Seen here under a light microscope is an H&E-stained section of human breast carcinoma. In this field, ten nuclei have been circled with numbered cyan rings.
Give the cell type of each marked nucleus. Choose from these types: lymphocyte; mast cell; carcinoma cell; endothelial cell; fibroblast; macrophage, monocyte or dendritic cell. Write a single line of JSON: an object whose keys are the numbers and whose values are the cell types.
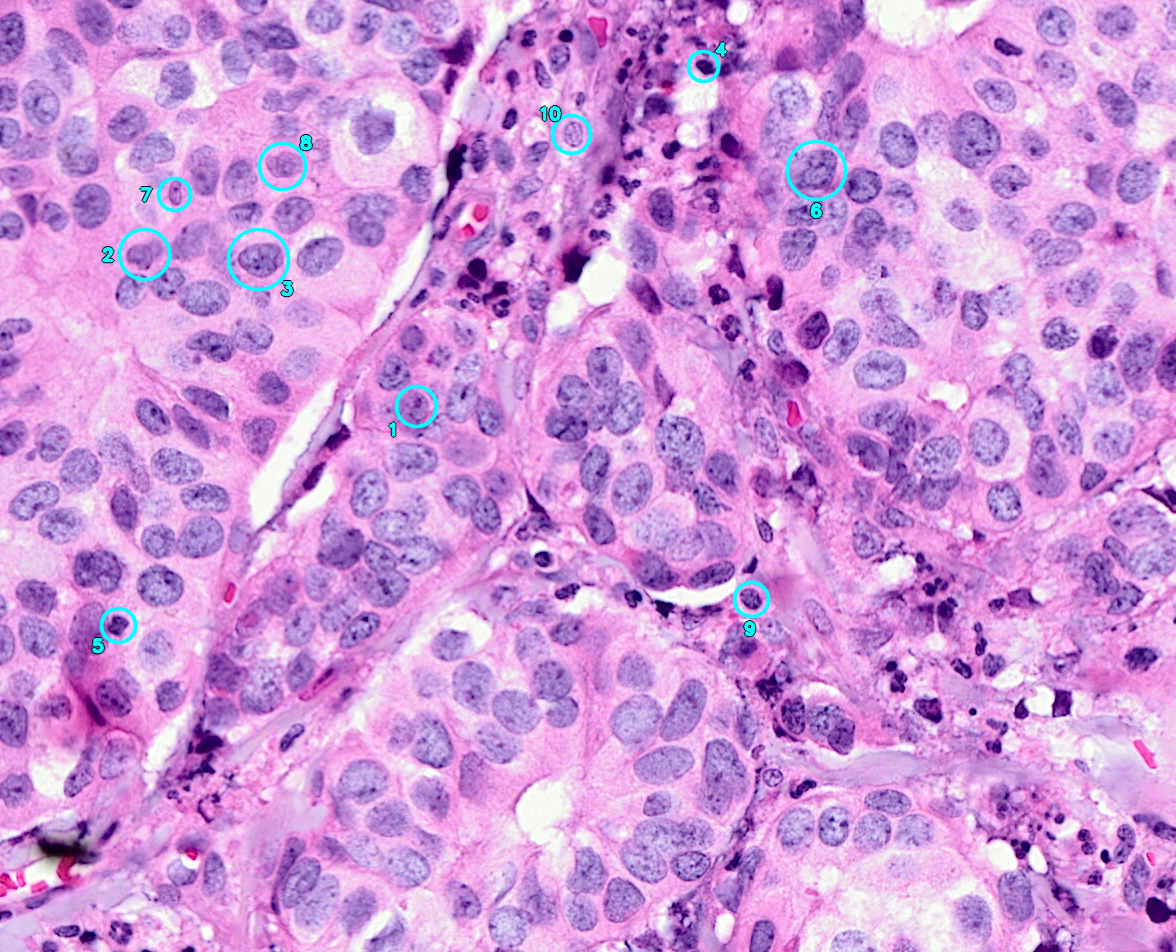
{"1": "carcinoma cell", "2": "carcinoma cell", "3": "carcinoma cell", "4": "lymphocyte", "5": "lymphocyte", "6": "carcinoma cell", "7": "carcinoma cell", "8": "carcinoma cell", "9": "mast cell", "10": "macrophage, monocyte or dendritic cell"}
